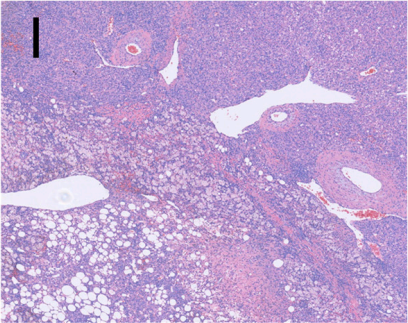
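This low-power view of a tumor shows three mixed components. The upper part is densely cellular, with many purple nuclei packed closely. Thick-walled blood vessels with pink muscular walls and small round lumina sit within it, and some contain red blood cells. Wider, thin-walled, empty lumina branch across the middle. The lower left is taken up by fat: round, clear, empty vacuoles of different sizes separated by thin pink septa.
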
